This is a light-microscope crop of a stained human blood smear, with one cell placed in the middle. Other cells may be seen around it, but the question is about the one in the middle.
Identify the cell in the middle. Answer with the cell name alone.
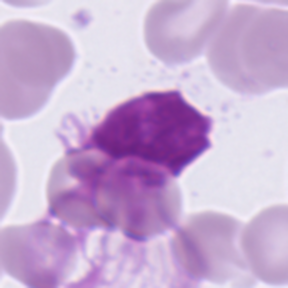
smudge cell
